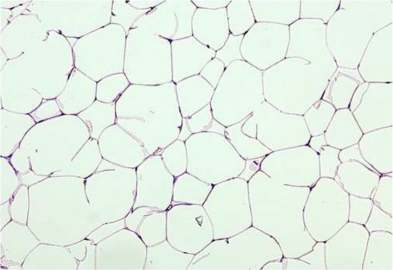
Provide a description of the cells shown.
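A section of fat tissue made of large, closely packed polygonal cells whose interiors are empty and unstained, each bounded by a thin purple rim. A few flattened dark nuclei sit pressed against the rims, and there is little tissue between the cells. These are adipocytes of white adipose tissue, each filled in life by a single large lipid droplet that has been lost in processing.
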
